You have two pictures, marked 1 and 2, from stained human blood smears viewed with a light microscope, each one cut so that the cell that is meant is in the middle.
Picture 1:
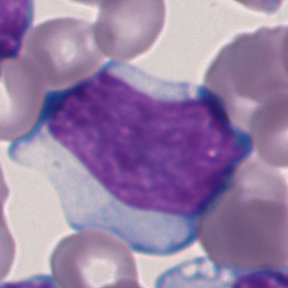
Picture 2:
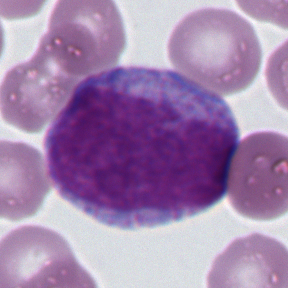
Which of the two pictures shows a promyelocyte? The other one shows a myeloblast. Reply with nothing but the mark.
2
